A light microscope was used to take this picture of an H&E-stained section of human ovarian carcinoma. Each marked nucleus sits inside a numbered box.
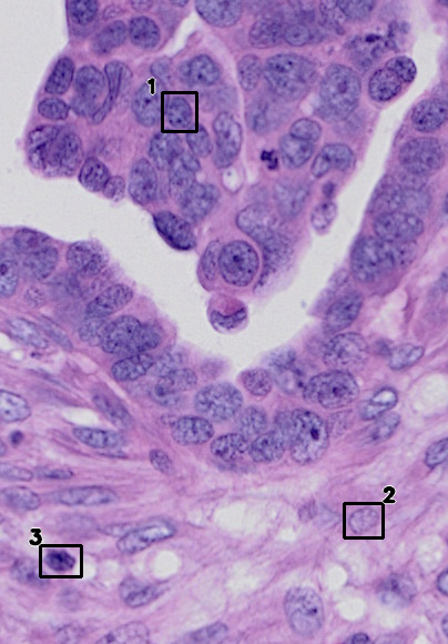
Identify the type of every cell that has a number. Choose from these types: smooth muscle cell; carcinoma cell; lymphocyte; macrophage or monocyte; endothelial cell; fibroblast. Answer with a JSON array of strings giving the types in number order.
["carcinoma cell", "fibroblast", "lymphocyte"]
